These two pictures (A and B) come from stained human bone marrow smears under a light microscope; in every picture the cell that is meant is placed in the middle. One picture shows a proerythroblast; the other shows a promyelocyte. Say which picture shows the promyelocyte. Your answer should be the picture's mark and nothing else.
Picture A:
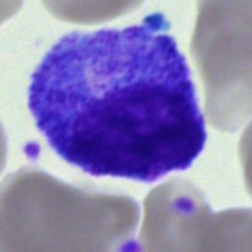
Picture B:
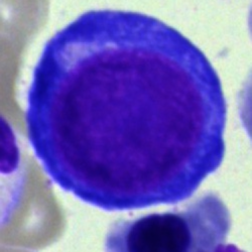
A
